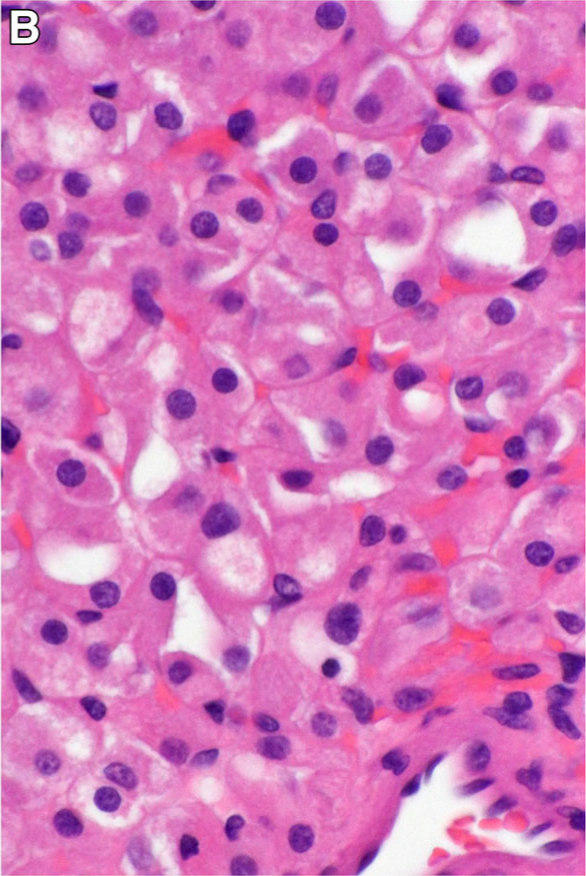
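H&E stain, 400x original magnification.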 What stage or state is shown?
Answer: Round and low grade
